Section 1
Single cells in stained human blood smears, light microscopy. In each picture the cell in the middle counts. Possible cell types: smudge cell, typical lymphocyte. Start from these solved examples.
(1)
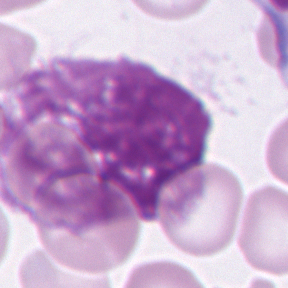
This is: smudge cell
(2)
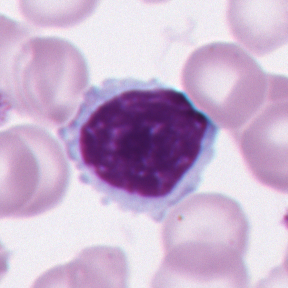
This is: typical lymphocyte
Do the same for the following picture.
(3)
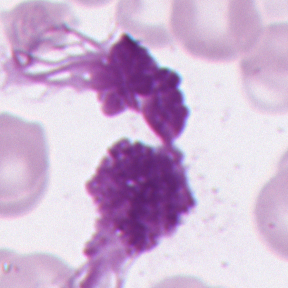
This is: smudge cell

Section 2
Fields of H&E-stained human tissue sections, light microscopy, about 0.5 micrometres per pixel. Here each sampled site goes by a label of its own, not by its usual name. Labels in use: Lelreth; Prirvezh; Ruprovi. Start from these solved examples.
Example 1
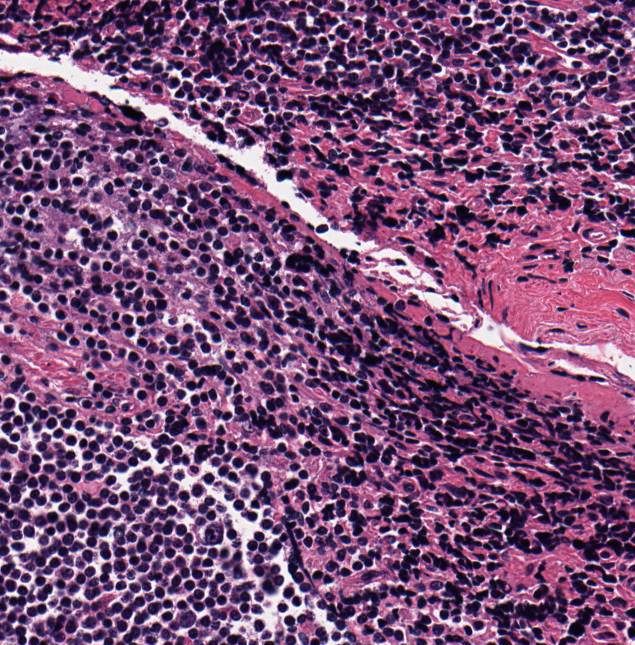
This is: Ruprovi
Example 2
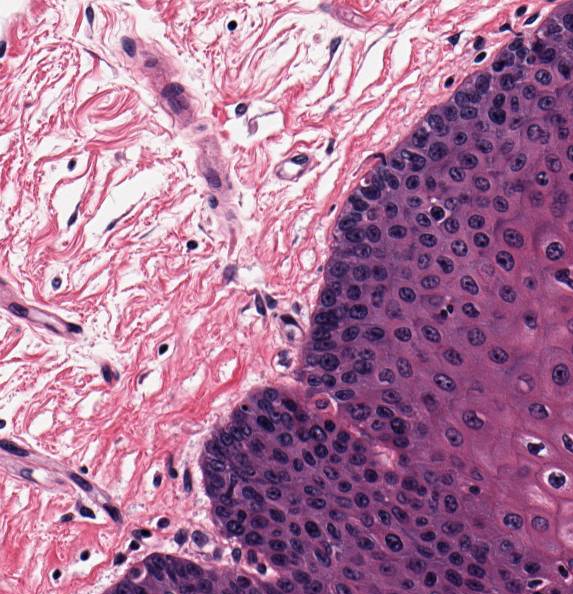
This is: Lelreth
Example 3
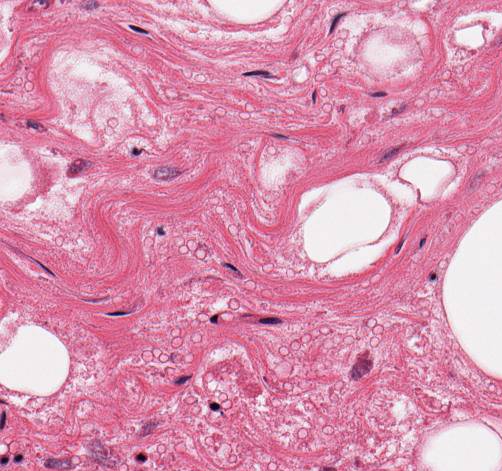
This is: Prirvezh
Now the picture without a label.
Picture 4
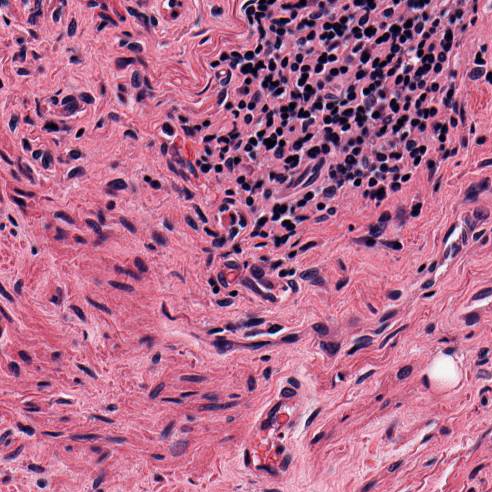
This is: Ruprovi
